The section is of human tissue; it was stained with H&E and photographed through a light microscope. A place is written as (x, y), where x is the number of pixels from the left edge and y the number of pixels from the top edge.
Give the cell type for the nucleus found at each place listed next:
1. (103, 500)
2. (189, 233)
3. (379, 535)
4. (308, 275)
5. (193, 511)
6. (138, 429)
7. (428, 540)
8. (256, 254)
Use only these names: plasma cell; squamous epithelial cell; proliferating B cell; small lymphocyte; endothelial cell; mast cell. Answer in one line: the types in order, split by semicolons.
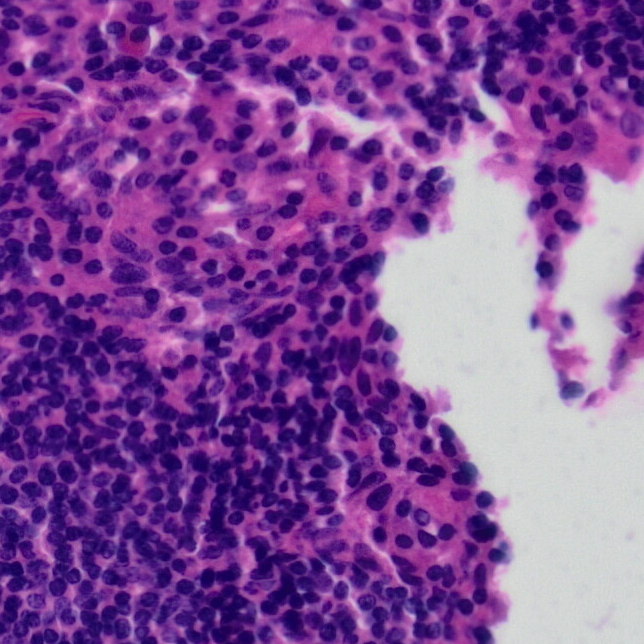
small lymphocyte; plasma cell; plasma cell; small lymphocyte; small lymphocyte; small lymphocyte; plasma cell; plasma cell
